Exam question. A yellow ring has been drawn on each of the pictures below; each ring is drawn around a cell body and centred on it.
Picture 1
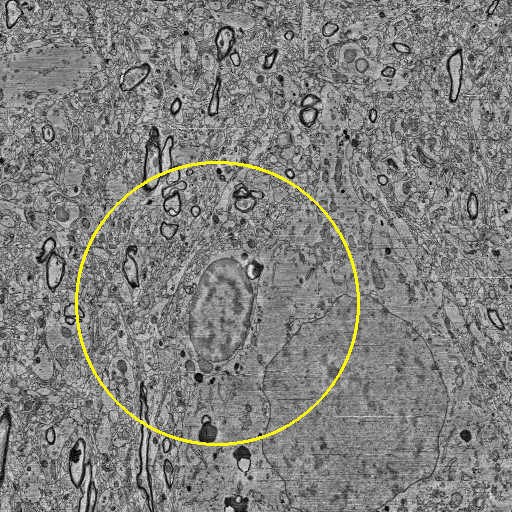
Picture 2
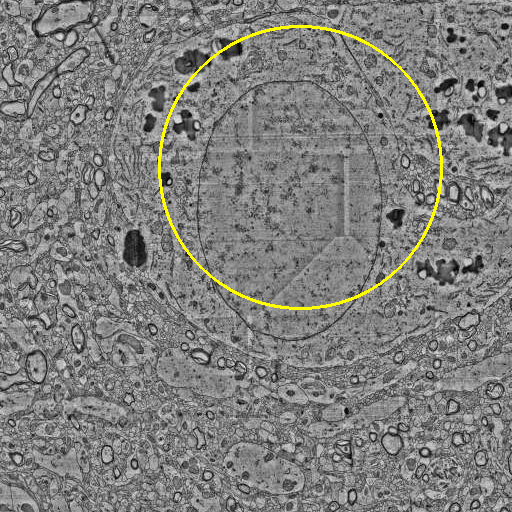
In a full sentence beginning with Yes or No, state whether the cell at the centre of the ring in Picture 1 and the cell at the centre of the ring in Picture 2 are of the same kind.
No, the cells are of two kinds.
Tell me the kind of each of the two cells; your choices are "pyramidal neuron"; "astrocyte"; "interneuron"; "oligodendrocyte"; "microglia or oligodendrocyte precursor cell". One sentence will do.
The ringed cell is an oligodendrocyte in the first picture and a pyramidal neuron in the second picture.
